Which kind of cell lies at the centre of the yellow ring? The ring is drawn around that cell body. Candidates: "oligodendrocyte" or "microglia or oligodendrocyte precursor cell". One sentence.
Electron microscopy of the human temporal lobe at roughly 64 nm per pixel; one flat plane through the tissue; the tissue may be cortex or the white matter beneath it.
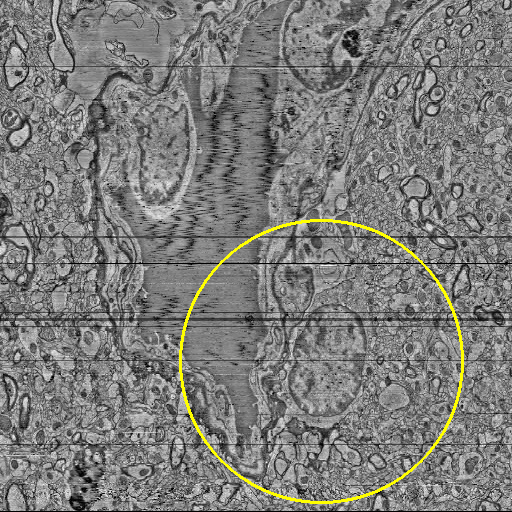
Lying at the centre of the ring is an oligodendrocyte.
